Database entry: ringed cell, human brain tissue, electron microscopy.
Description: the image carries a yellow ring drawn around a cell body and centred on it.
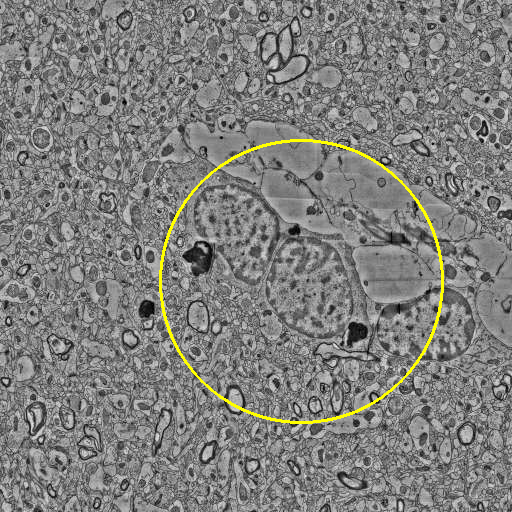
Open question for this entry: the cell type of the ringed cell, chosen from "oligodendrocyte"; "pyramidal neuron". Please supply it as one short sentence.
The ringed cell is an oligodendrocyte.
